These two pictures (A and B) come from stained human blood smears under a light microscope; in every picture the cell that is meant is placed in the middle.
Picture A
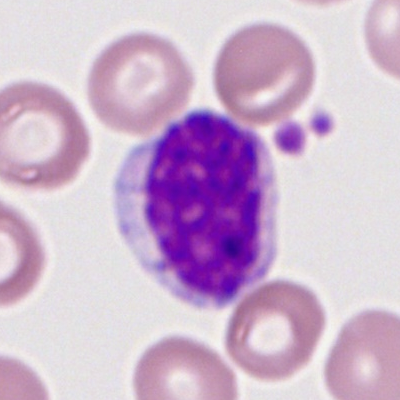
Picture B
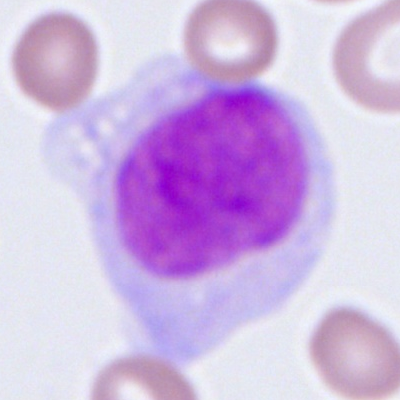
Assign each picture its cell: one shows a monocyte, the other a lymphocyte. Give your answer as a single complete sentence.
Picture B shows a monocyte, while picture A shows a lymphocyte.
